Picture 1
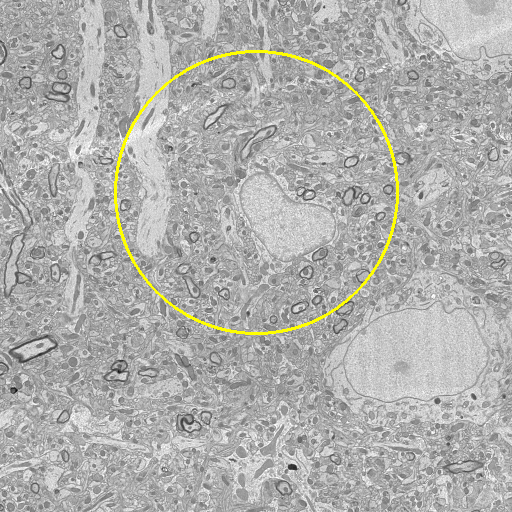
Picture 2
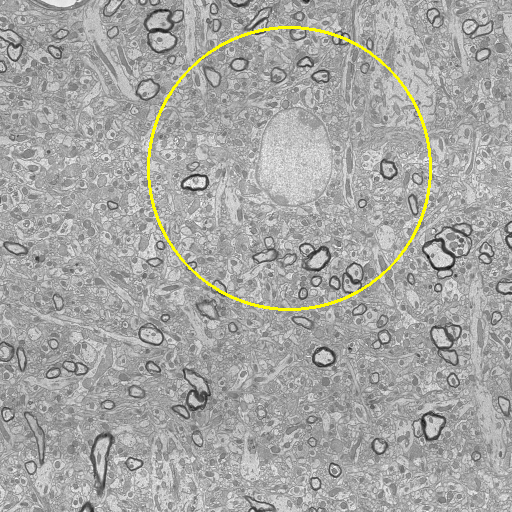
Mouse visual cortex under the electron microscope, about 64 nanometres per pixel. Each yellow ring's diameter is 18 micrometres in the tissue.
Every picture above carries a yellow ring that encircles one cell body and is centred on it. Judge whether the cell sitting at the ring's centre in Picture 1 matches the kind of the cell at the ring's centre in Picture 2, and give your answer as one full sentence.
Yes, the cells centred in the rings of Pictures 1 and 2 belong to one kind.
